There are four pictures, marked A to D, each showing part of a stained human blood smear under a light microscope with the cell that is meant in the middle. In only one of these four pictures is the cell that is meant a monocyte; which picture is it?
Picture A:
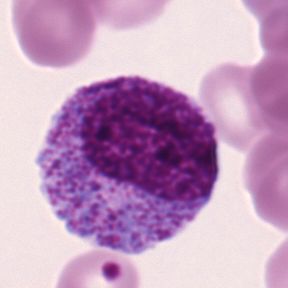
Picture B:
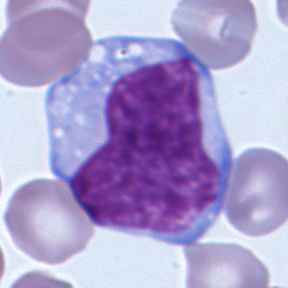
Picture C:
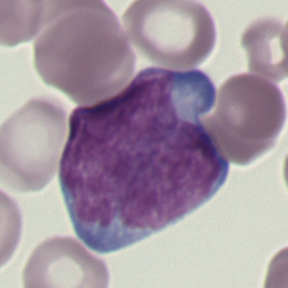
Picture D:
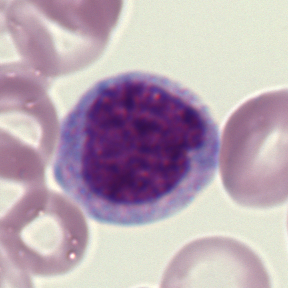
D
